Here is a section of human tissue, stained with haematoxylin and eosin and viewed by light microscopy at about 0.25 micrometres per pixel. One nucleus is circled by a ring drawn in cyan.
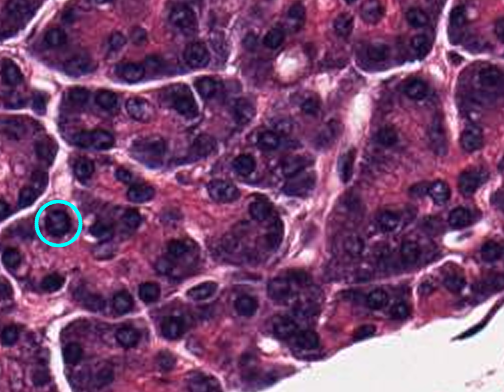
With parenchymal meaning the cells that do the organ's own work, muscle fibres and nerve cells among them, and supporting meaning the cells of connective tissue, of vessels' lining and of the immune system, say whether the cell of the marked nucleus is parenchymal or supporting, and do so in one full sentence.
The parenchymal cell with the marked nucleus is a pancreatic acinar cell.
